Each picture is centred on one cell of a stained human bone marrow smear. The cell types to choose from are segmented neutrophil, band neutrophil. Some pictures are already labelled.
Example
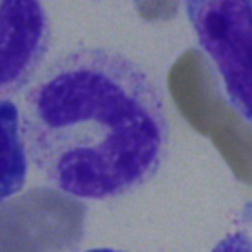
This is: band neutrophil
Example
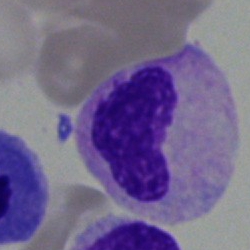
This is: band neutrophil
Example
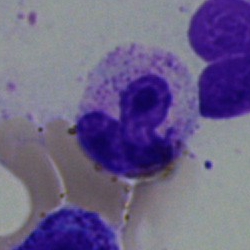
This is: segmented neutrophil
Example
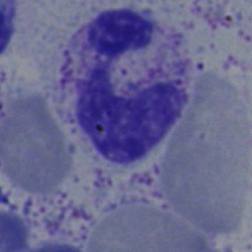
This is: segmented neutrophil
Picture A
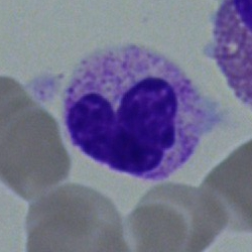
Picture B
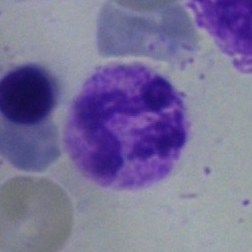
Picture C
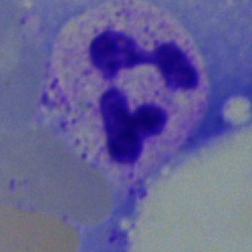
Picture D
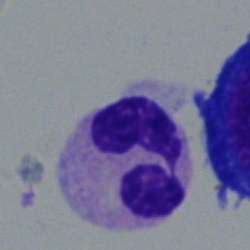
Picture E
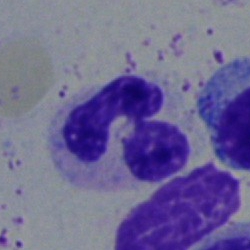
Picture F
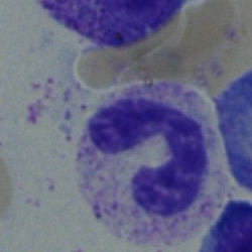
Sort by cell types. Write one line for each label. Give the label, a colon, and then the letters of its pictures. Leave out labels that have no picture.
segmented neutrophil: B, C, D, E
band neutrophil: A, F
